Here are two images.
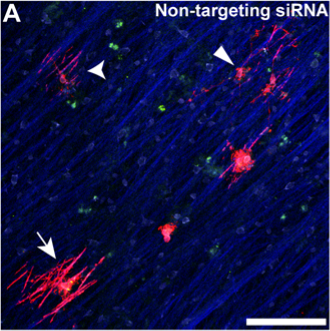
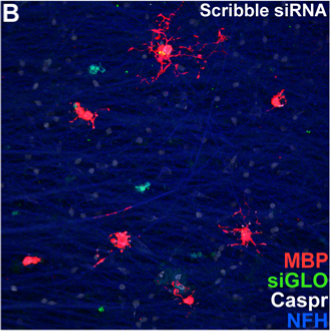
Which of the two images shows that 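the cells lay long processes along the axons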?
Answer: The first image.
